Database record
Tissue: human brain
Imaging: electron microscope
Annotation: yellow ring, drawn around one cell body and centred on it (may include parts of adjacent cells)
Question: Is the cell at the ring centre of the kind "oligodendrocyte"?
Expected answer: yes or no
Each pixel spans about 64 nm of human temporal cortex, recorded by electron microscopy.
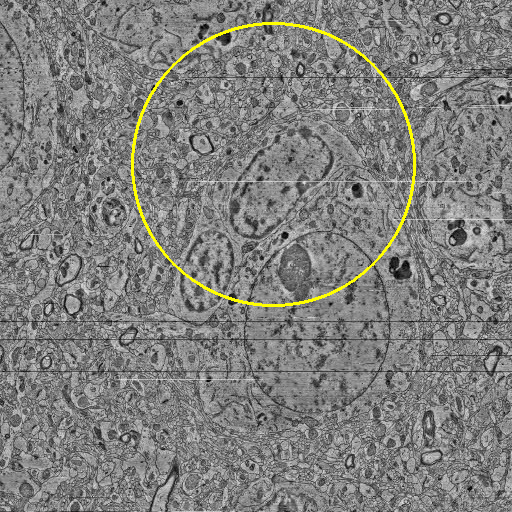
no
